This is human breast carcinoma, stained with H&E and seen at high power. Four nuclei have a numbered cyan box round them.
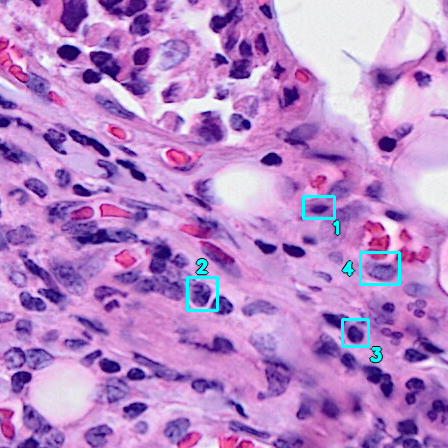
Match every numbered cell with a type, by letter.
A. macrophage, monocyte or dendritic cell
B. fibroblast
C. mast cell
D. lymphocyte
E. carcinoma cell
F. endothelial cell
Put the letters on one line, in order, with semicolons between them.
F; D; D; F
